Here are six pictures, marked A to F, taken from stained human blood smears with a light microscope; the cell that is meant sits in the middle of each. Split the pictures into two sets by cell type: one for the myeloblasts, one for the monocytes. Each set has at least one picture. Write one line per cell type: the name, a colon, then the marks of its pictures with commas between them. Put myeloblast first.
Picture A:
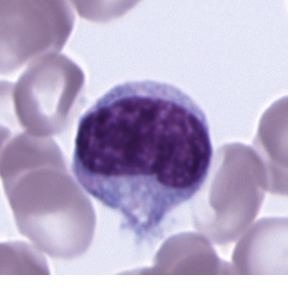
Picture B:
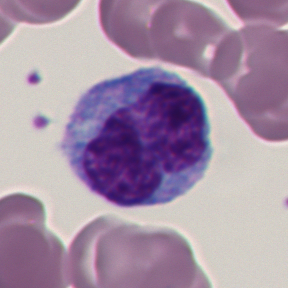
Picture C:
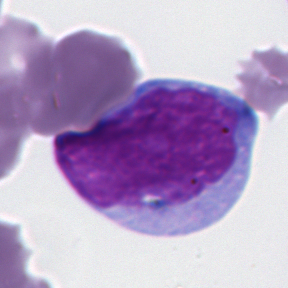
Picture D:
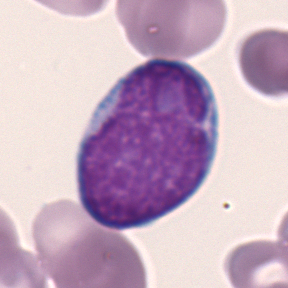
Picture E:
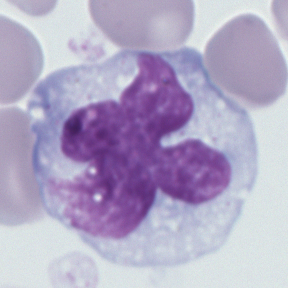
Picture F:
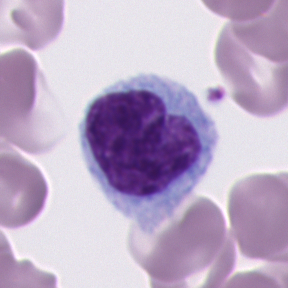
myeloblast: C, D
monocyte: A, B, E, F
